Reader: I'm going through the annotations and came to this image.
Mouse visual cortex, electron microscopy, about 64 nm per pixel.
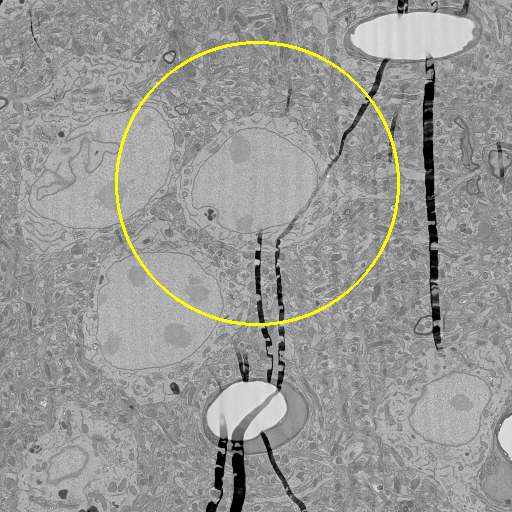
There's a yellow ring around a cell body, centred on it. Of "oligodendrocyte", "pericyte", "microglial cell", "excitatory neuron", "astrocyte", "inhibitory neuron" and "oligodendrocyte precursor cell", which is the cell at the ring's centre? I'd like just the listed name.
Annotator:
excitatory neuron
